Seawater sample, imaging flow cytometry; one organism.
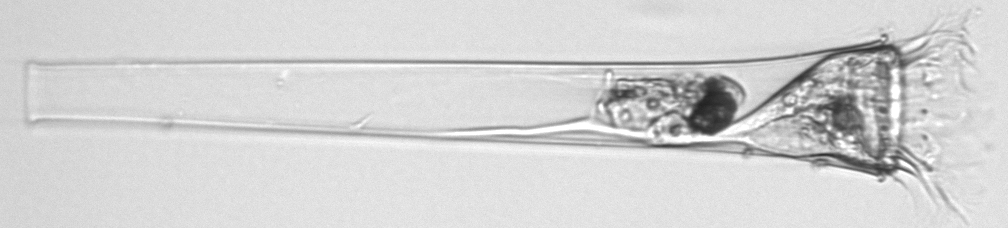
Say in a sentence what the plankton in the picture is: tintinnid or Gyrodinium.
This is a tintinnid.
